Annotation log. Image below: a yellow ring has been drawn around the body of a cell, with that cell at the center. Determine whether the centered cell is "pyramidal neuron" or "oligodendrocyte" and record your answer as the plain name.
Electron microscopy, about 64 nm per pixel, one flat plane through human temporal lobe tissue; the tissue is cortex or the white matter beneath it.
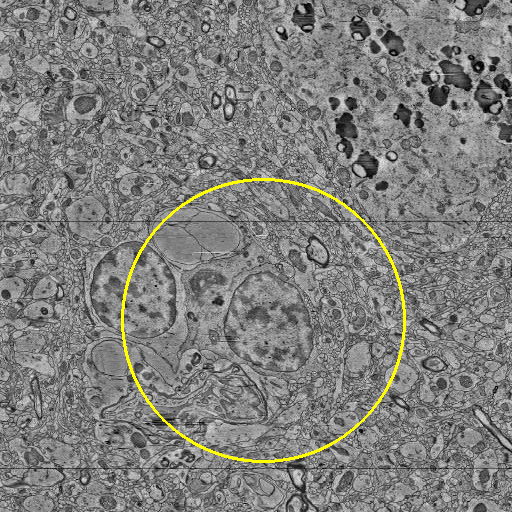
oligodendrocyte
